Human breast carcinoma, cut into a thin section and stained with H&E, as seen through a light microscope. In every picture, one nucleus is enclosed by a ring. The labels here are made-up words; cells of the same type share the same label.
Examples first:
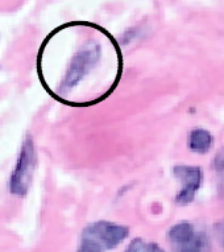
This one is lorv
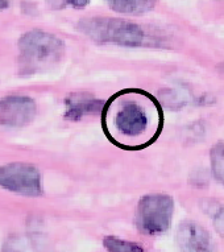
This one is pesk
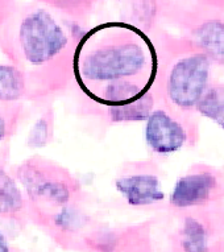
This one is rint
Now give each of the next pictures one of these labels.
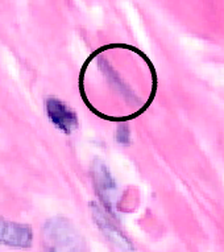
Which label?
lorv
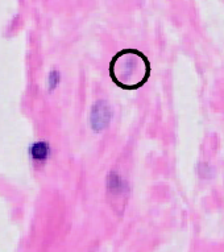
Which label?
lorv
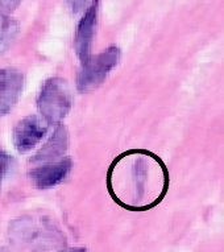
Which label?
lorv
